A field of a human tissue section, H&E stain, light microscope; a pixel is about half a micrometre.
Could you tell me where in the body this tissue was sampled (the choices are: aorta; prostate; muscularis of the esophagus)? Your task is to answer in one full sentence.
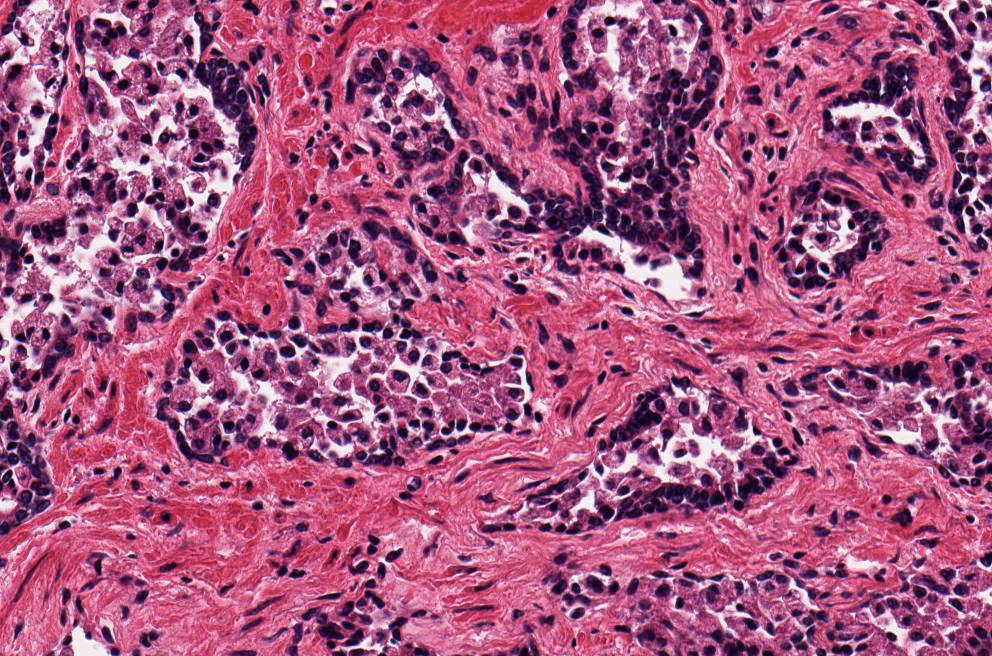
What was sampled is tissue from the prostate.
